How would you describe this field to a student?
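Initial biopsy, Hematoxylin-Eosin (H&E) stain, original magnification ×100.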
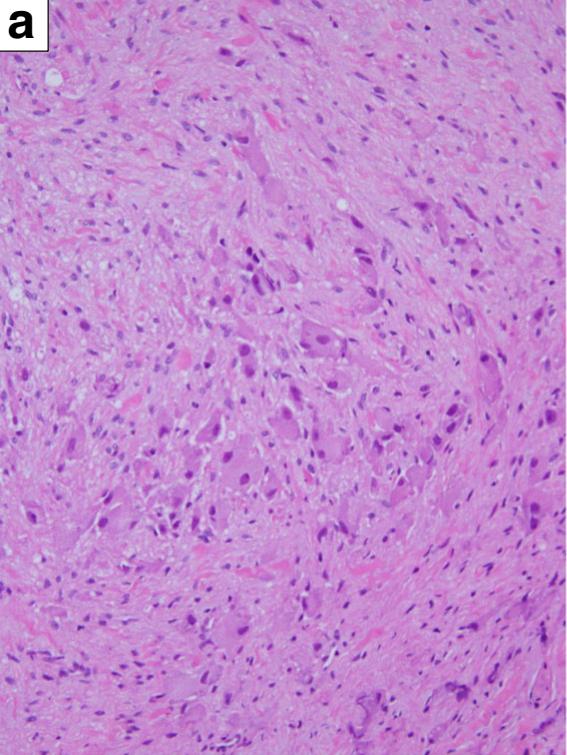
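This tumour tissue, a ganglioneuroma, consists mostly of a loose stroma of wavy spindle-shaped cells with slender, elongated dark purple nuclei set in pale pink fibrillary background, running in interlacing bundles. Scattered singly and in small clusters through this stroma lie larger polygonal cells with generous pale pink to lilac cytoplasm and round nuclei, some with prominent nucleoli. Small clear vacuoles are seen in places at the upper left.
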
